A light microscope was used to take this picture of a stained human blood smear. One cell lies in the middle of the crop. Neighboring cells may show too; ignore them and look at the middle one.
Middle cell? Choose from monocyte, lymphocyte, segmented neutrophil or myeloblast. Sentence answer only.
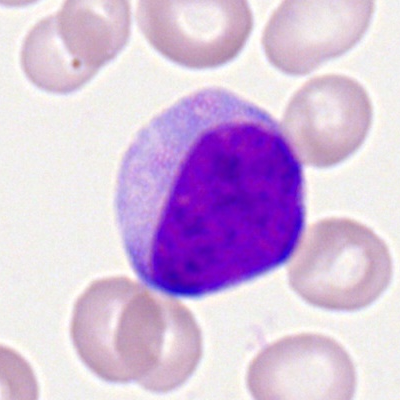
Seen at the centre of the crop is a myeloblast.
